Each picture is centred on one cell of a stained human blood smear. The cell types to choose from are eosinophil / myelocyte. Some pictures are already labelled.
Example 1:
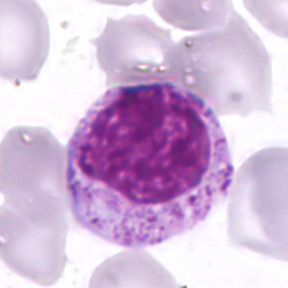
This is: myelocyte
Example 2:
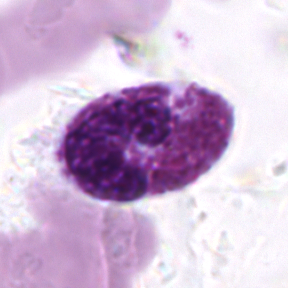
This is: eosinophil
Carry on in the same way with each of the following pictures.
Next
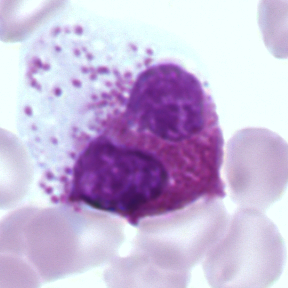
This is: eosinophil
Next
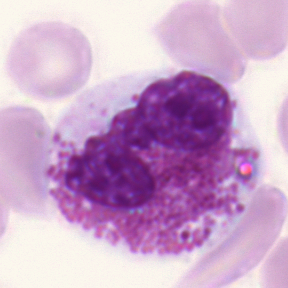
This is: eosinophil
